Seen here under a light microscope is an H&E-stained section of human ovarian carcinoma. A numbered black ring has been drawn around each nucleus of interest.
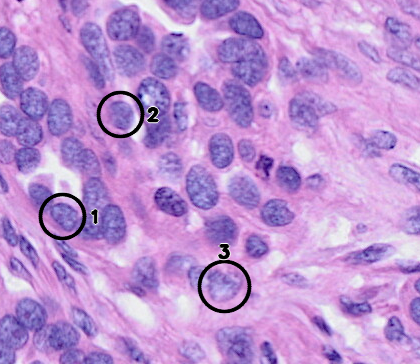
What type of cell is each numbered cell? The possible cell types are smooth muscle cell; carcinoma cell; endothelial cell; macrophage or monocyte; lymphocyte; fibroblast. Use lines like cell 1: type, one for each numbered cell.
cell 1: carcinoma cell
cell 2: carcinoma cell
cell 3: fibroblast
